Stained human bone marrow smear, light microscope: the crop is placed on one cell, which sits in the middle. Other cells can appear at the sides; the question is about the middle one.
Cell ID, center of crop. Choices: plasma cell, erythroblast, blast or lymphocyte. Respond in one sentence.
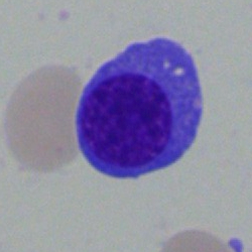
What sits at the centre of this crop is an erythroblast.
